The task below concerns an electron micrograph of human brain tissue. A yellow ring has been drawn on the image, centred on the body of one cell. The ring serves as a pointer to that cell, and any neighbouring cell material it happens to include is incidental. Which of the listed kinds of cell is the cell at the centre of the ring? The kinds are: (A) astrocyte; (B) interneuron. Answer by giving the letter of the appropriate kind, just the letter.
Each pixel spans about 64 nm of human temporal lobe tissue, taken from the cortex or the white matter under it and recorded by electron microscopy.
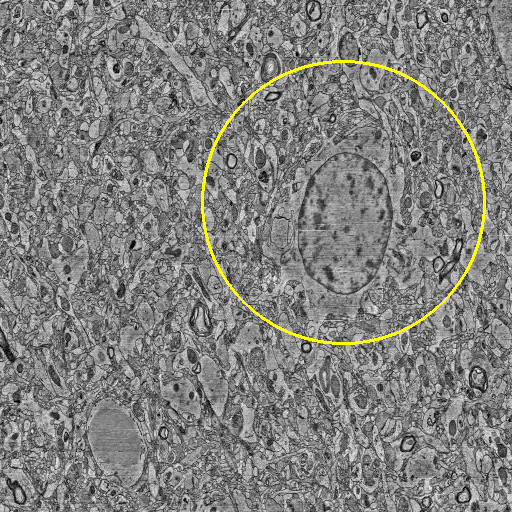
A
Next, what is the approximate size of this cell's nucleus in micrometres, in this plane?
The nucleus of the ringed cell is clearly longer than it is wide in this plane, about 9 by 6 micrometres.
